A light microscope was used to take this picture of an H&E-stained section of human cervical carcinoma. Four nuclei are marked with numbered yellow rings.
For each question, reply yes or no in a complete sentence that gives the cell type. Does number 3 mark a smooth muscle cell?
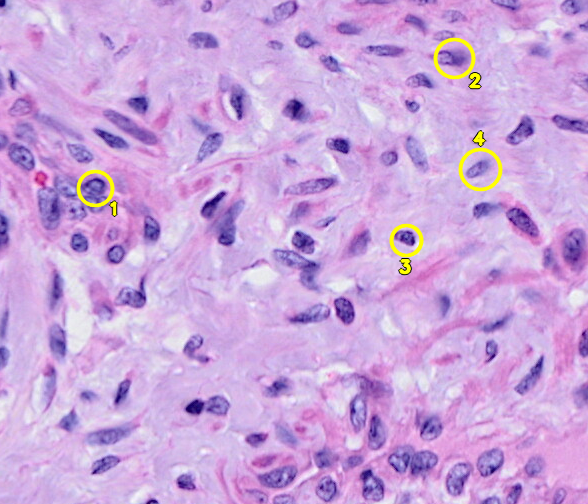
No, the cell tagged 3 is a lymphocyte, and not a smooth muscle cell.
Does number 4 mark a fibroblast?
Yes, the cell denoted by 4 is a fibroblast.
